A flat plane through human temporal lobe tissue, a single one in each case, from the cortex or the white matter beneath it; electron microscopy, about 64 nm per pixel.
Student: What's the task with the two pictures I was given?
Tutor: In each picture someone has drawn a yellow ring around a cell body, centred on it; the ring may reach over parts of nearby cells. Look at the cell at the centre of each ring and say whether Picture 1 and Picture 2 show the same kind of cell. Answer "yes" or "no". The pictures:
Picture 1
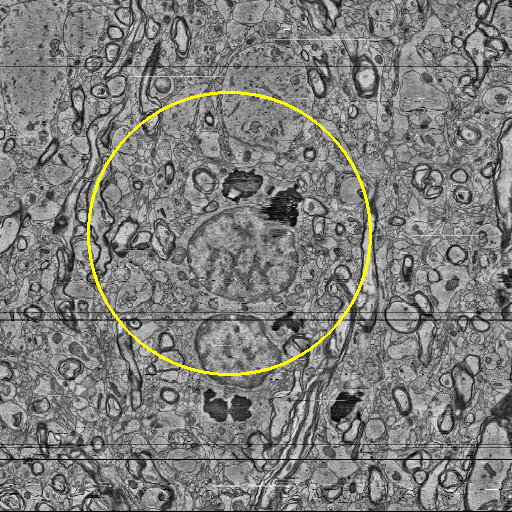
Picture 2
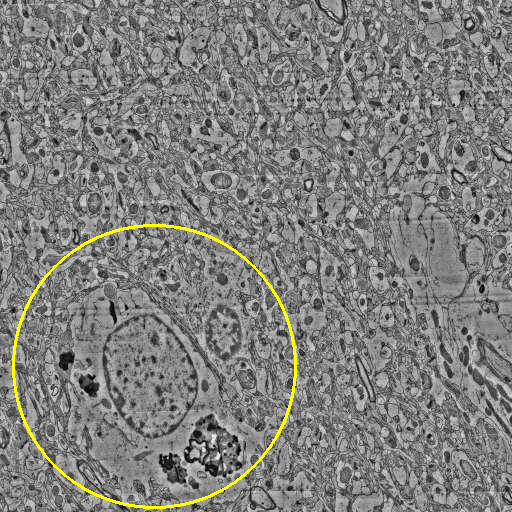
no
